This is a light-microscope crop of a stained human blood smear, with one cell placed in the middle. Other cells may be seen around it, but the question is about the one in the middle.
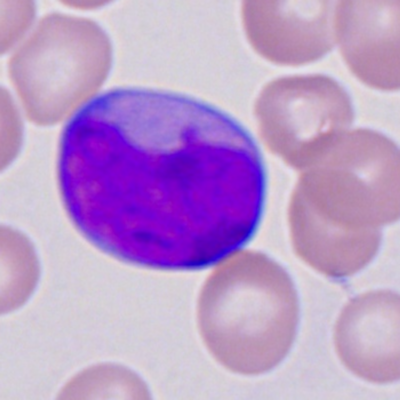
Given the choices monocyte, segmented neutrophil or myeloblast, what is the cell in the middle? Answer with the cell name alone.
myeloblast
